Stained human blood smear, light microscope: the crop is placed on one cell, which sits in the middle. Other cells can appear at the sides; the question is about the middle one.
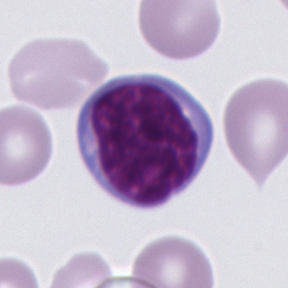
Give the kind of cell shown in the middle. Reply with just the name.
large granular lymphocyte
